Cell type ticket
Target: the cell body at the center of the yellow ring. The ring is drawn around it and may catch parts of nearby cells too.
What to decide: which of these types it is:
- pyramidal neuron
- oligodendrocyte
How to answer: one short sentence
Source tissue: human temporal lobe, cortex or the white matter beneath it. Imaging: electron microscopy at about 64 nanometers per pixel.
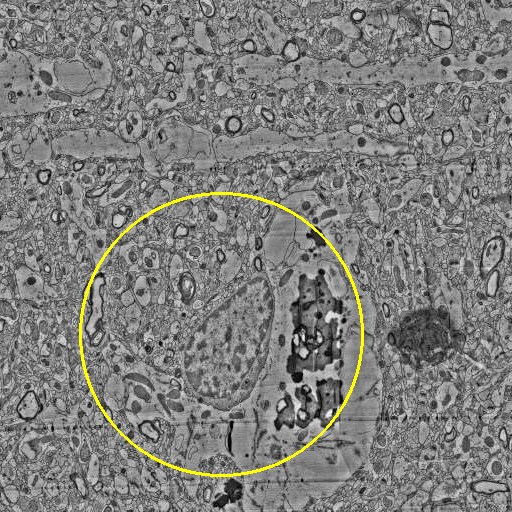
The cell at the center of the ring is an oligodendrocyte.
